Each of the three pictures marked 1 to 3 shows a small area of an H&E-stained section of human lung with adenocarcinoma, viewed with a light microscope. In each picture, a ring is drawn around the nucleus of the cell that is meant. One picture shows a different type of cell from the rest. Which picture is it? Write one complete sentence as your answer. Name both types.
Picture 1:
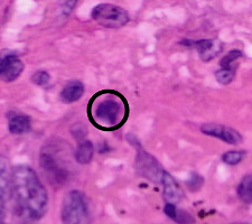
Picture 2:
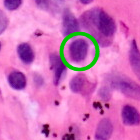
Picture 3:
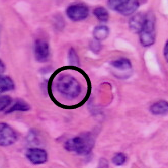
The others show plasma cells, but picture 2 shows a lymphocyte.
